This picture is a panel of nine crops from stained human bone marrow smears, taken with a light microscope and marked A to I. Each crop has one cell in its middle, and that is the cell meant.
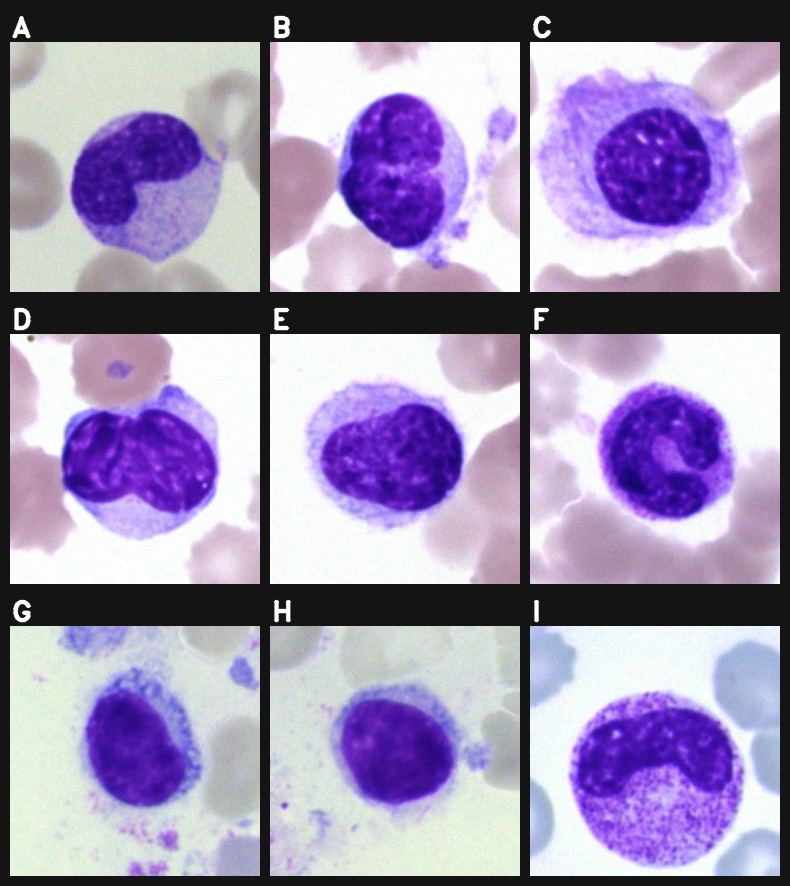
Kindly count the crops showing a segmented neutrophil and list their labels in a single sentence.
Every one of the crops is without segmented neutrophils, so the count is zero.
